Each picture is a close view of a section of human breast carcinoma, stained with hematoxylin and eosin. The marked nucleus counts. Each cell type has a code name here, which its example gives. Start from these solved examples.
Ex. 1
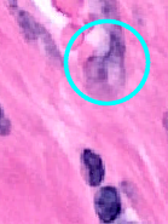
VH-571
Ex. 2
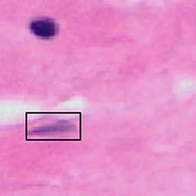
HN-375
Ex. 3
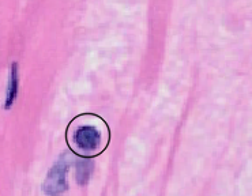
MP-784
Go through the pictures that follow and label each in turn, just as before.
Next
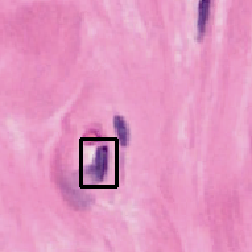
VH-571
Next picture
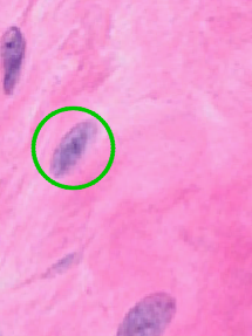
HN-375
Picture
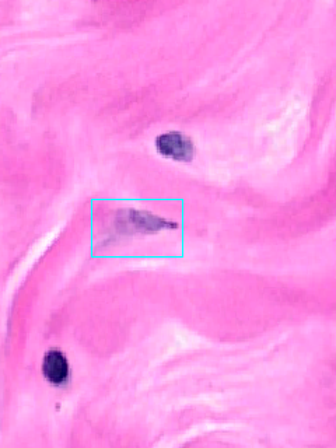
HN-375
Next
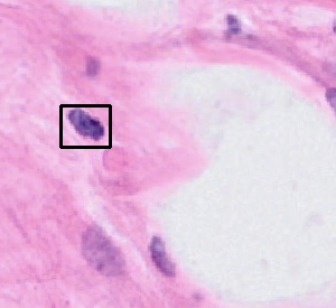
MP-784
